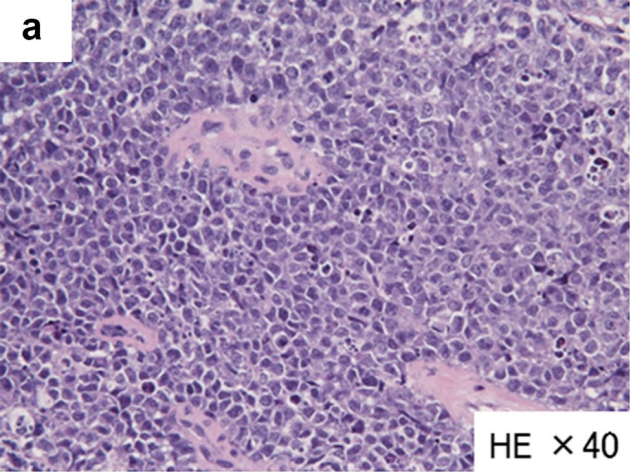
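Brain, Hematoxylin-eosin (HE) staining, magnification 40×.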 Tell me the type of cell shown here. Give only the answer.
Large lymphocytes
